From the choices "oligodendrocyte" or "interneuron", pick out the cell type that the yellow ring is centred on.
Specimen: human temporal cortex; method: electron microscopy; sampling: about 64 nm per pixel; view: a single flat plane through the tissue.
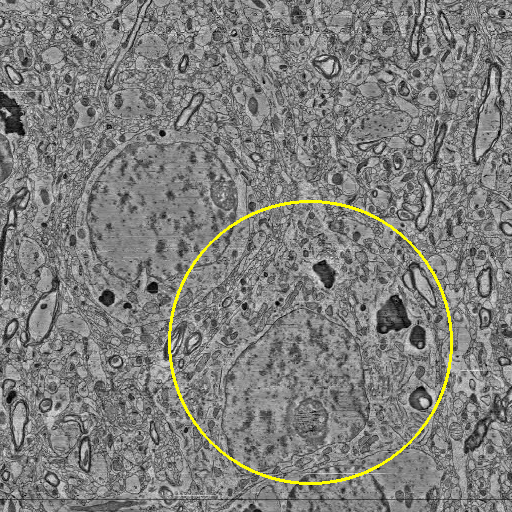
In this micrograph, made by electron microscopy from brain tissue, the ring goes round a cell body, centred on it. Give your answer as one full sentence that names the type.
The yellow ring is centred on an interneuron, whose cell body it encircles in the picture.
